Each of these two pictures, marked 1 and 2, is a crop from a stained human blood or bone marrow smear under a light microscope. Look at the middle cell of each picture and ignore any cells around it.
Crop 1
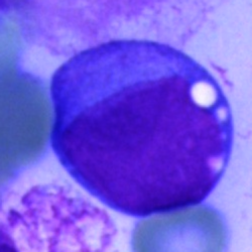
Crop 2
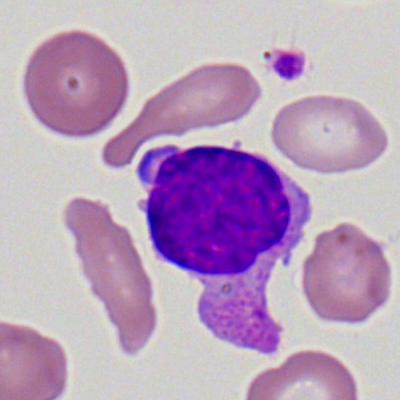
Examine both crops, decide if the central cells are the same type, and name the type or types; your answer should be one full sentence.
No, a lymphocyte is depicted in crop 2, whereas a blast is depicted in crop 1.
